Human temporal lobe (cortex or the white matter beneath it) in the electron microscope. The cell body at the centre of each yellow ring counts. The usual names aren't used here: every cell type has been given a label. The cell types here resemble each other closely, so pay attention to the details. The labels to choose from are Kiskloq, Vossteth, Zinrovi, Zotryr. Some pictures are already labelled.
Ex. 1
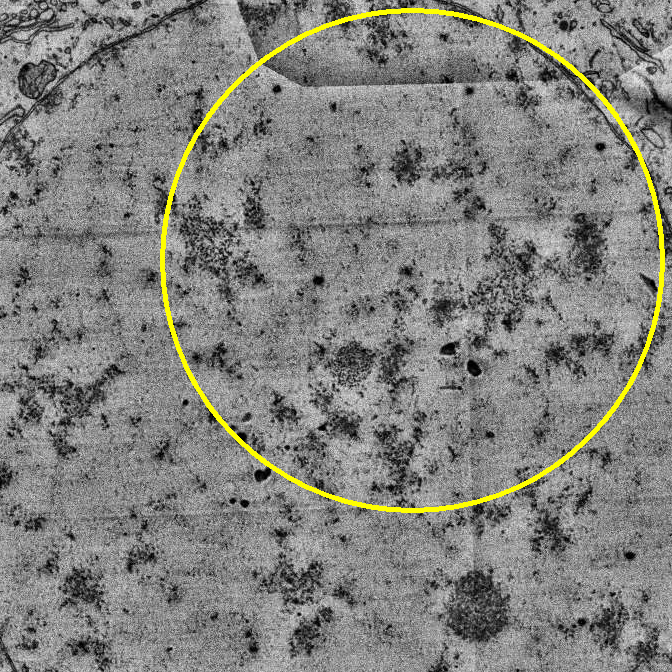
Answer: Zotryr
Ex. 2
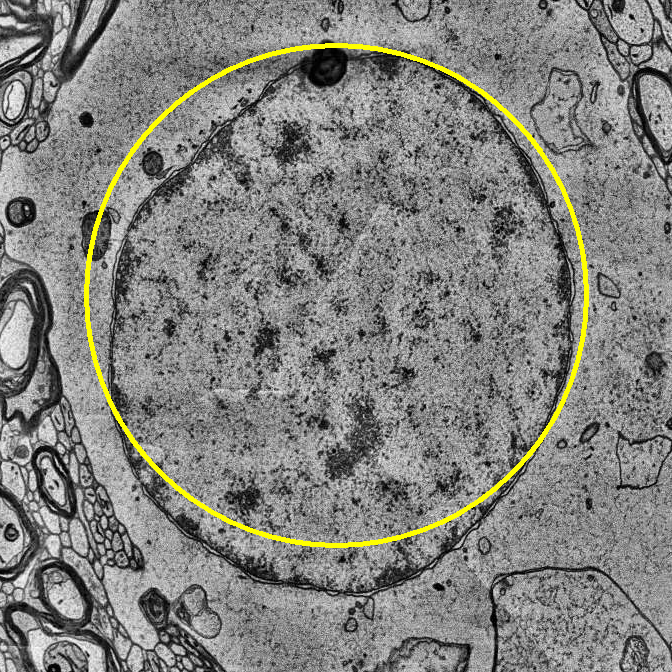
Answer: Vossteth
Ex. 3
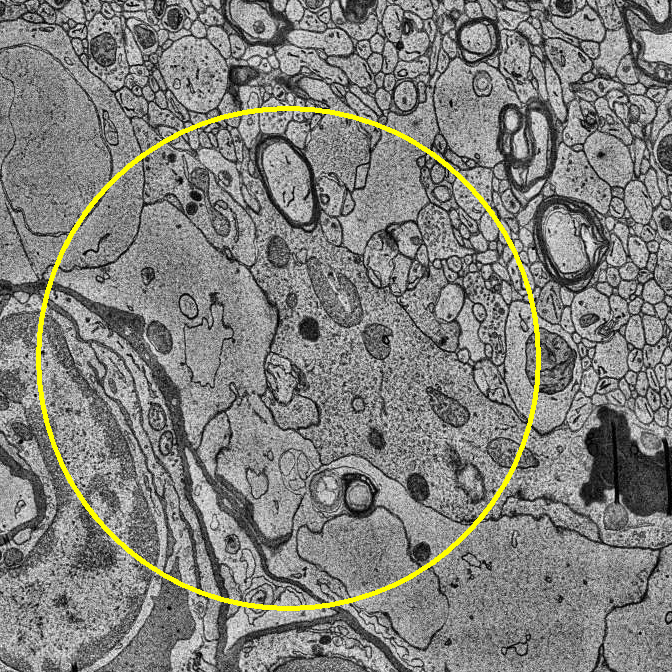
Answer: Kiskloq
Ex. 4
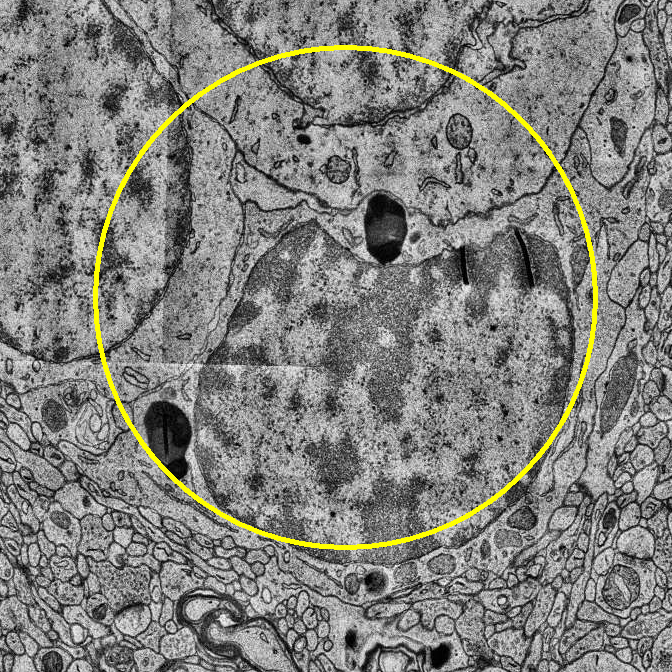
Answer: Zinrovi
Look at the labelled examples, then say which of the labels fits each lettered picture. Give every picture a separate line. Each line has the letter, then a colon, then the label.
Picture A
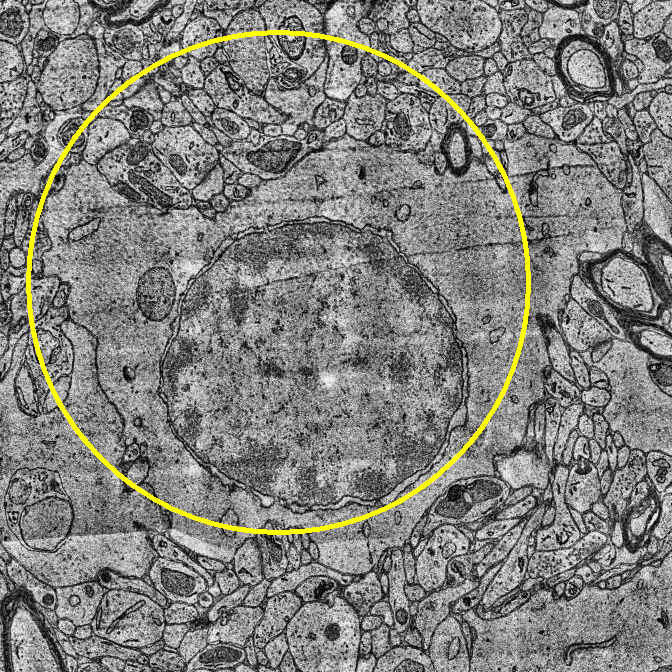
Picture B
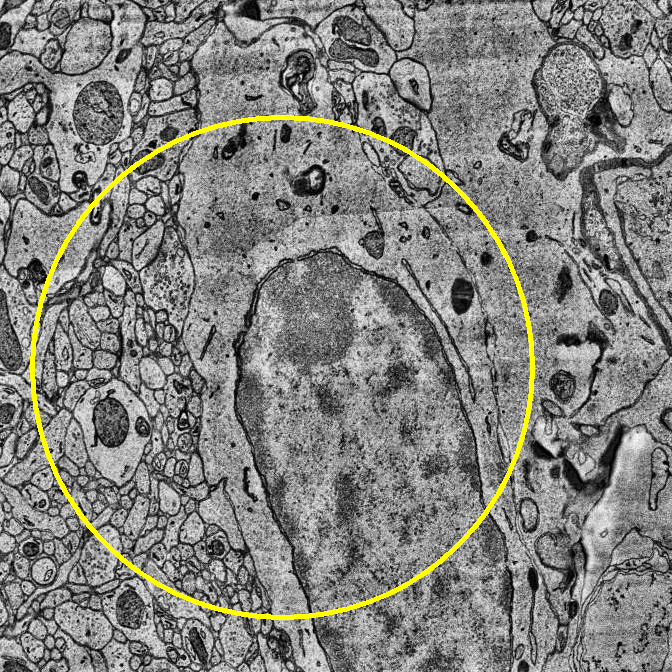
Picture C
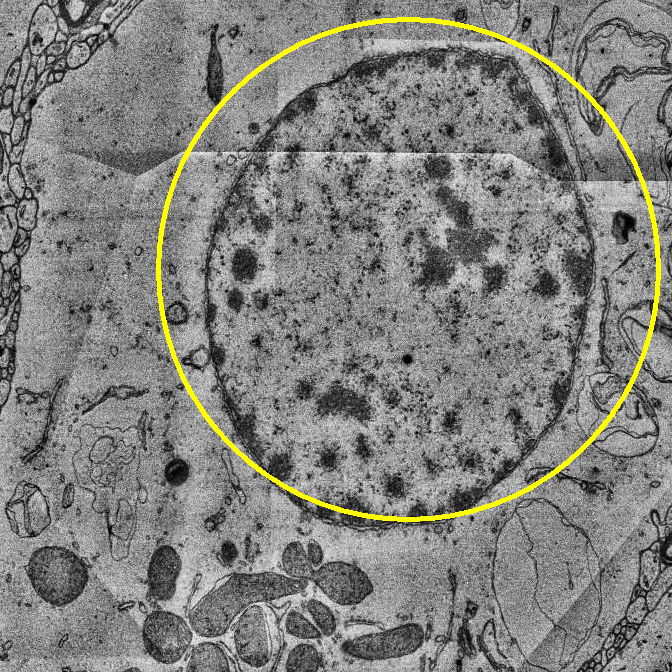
A: Vossteth
B: Zinrovi
C: Vossteth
